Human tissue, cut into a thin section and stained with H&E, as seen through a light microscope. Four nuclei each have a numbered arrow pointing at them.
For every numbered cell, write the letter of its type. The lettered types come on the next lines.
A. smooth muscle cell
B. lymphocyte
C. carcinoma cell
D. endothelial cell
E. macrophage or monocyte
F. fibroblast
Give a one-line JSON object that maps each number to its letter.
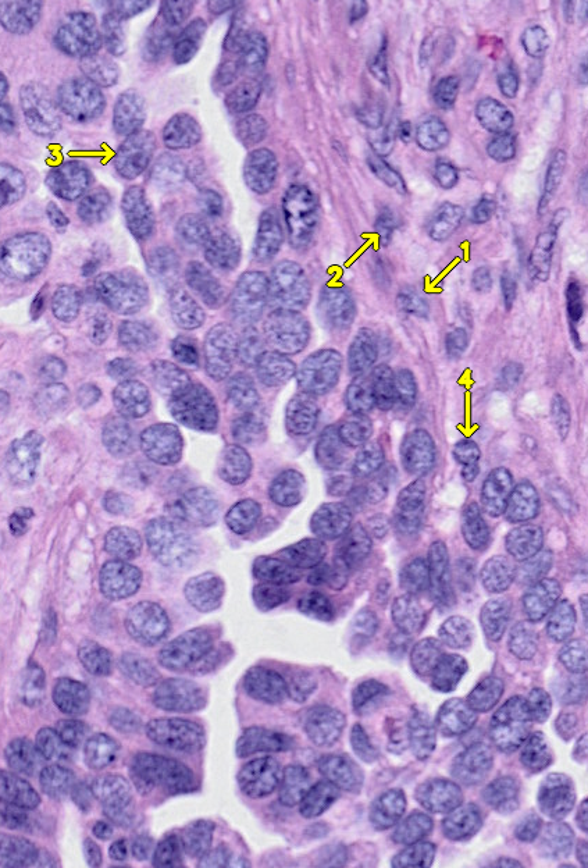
{"1": "F", "2": "F", "3": "C", "4": "E"}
